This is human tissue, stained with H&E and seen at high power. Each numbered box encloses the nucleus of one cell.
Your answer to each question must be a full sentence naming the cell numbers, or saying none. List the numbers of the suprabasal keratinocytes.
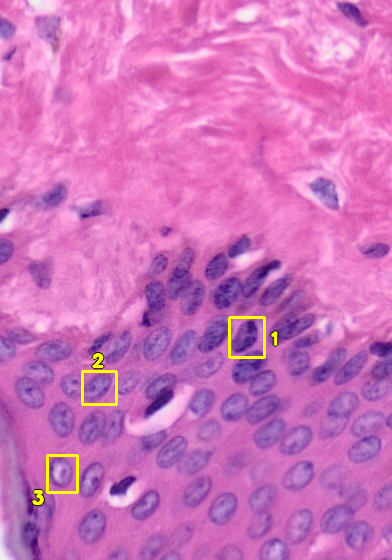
The numbers 2 and 3 in this section indicate suprabasal keratinocytes.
